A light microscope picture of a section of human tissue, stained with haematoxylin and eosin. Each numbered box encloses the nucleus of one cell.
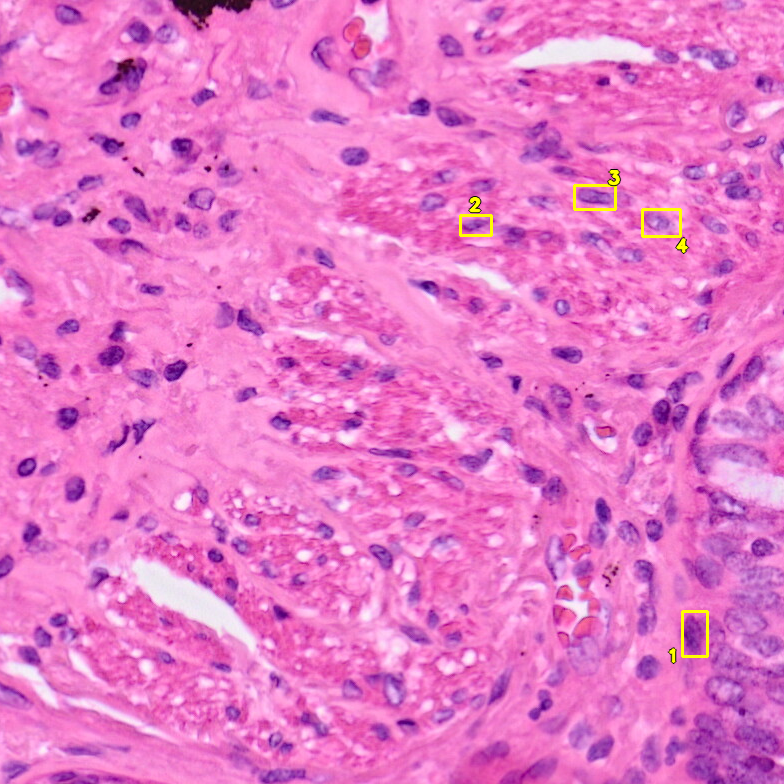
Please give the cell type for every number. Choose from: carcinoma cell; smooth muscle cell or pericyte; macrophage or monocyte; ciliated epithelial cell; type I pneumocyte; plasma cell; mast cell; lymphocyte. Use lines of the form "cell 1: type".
cell 1: ciliated epithelial cell
cell 2: smooth muscle cell or pericyte
cell 3: smooth muscle cell or pericyte
cell 4: smooth muscle cell or pericyte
